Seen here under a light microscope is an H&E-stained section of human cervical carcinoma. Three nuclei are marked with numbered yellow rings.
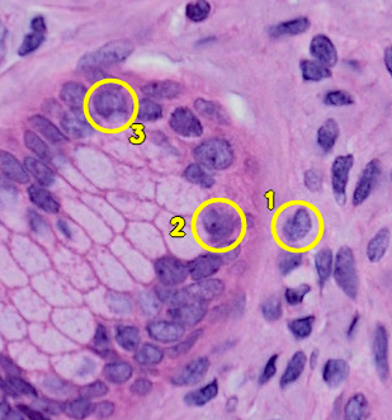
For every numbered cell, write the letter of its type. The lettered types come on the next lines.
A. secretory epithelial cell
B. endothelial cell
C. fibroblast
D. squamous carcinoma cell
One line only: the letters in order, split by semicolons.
C; A; A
